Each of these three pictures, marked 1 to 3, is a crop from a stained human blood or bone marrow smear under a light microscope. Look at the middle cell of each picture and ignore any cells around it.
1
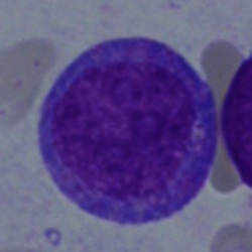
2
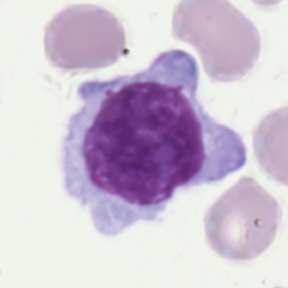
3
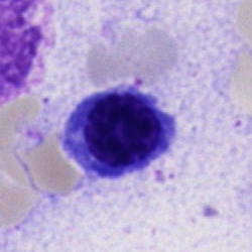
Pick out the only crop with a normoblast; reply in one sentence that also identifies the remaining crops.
Depicted in crop 3 is a normoblast, while crop 1 is a promyelocyte and crop 2 is a plasma cell.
